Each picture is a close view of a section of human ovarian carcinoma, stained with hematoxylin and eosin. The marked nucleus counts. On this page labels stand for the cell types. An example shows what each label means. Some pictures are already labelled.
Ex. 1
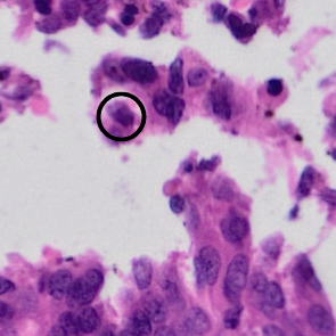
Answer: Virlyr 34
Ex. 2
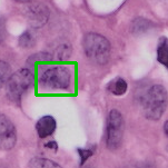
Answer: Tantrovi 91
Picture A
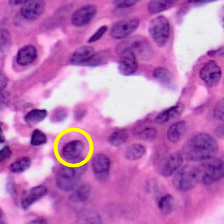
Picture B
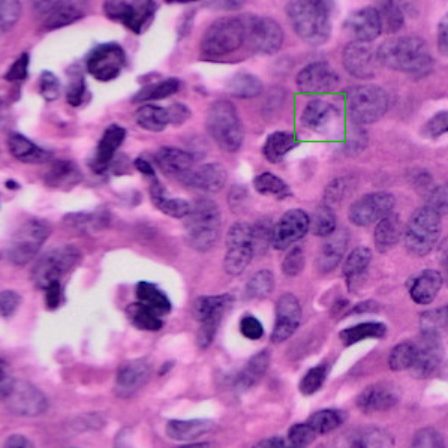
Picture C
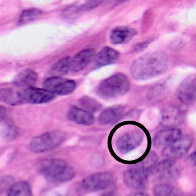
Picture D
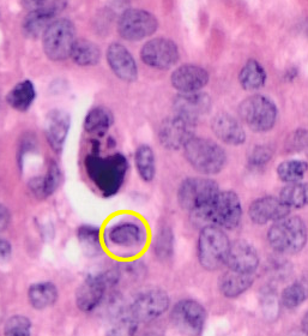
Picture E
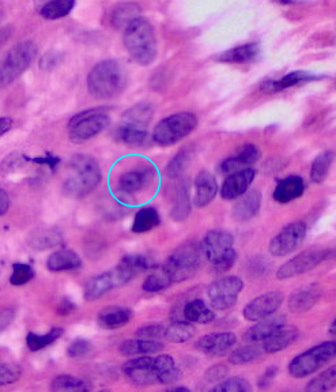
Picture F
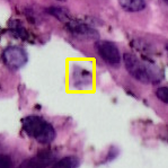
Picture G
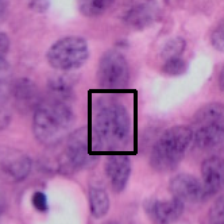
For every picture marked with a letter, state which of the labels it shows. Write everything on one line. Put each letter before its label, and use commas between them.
A Virlyr 34, B Virlyr 34, C Virlyr 34, D Virlyr 34, E Tantrovi 91, F Virlyr 34, G Tantrovi 91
